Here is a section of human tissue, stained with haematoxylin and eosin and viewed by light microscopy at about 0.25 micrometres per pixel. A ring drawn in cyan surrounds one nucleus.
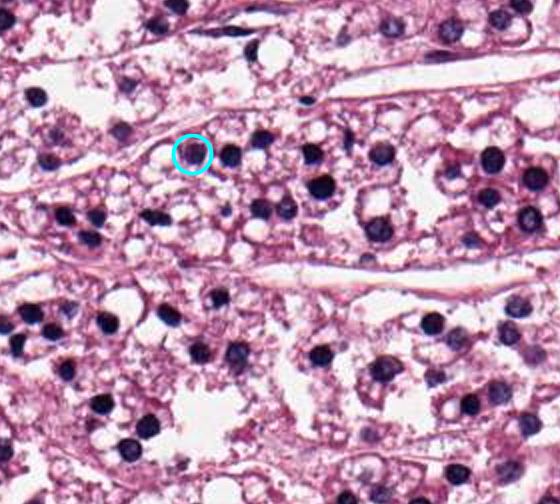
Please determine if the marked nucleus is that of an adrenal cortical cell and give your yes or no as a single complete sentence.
Yes, the cell containing the marked nucleus is an adrenal cortical cell.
